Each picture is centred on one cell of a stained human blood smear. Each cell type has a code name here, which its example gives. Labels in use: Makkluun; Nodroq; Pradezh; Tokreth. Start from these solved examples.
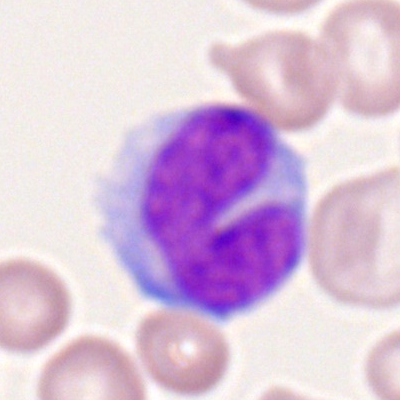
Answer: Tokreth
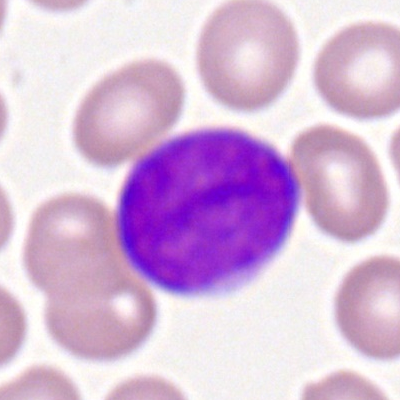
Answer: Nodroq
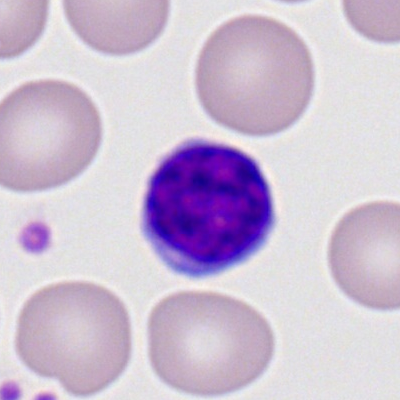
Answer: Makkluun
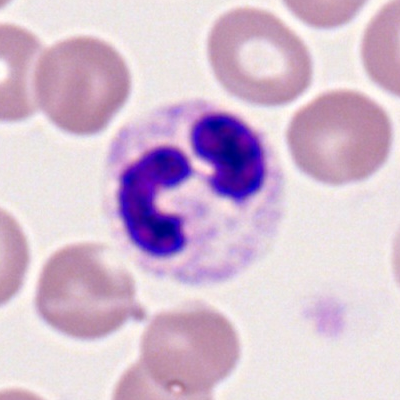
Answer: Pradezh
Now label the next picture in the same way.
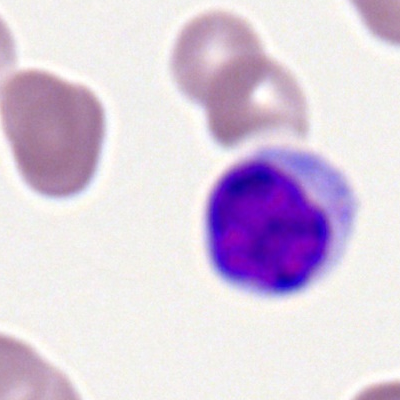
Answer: Makkluun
